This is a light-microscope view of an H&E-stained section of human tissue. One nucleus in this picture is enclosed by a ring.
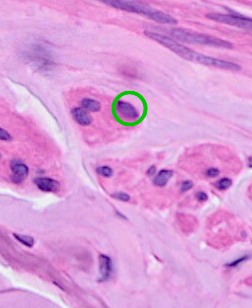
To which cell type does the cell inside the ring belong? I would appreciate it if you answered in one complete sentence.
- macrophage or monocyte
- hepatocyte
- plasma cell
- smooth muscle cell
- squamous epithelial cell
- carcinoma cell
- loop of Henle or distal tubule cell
Among the cells in this section, the cell inside the ring is a smooth muscle cell.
